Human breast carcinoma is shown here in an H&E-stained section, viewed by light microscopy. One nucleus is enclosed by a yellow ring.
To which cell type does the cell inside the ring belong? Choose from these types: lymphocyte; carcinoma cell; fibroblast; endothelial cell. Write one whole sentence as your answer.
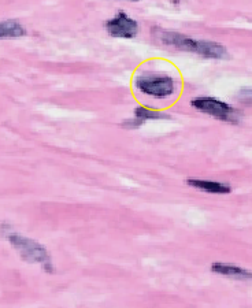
The cell type of the cell inside the ring is that of a lymphocyte.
